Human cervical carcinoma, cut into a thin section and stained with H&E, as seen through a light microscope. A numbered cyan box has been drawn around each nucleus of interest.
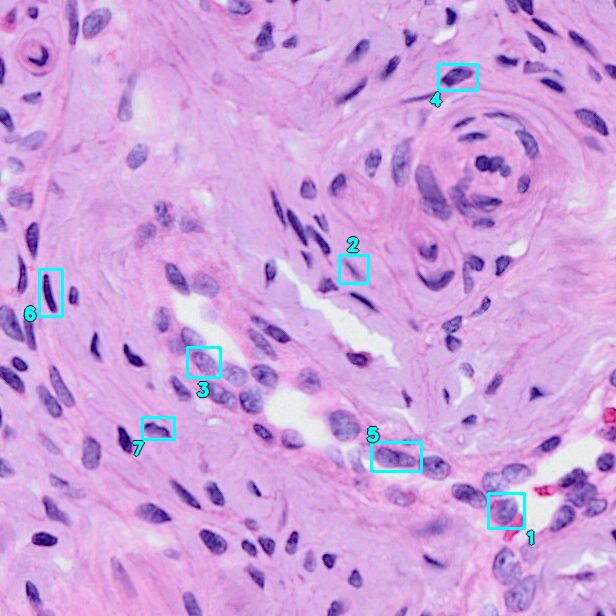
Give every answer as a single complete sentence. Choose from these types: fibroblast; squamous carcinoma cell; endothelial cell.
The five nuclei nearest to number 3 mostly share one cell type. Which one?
Endothelial cells account for more than half of the five nuclei nearest to number 3.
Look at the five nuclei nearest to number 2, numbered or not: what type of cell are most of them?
Fibroblasts make up most of the five nuclei closest to number 2.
